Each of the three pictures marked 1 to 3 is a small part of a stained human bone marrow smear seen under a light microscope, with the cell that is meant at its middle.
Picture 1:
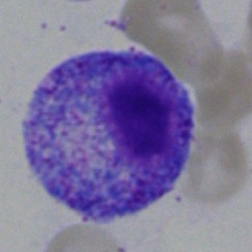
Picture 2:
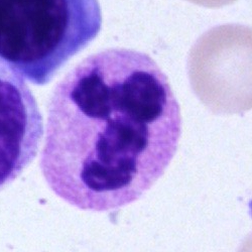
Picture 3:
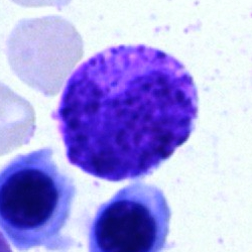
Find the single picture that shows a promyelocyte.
1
